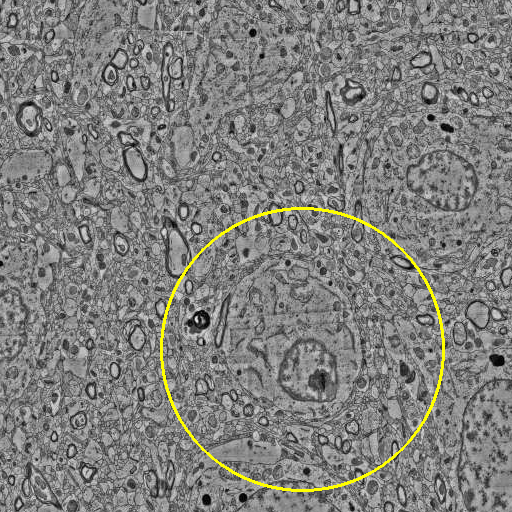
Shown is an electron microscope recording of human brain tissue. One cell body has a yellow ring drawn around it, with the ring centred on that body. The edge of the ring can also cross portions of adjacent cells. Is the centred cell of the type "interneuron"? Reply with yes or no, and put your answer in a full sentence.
No, in the picture, the cell on which the ring is centred has a different type.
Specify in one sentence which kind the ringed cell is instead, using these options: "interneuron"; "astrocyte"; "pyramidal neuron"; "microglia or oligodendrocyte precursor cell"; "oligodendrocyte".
The cell that the ring is centred on is a pyramidal neuron.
